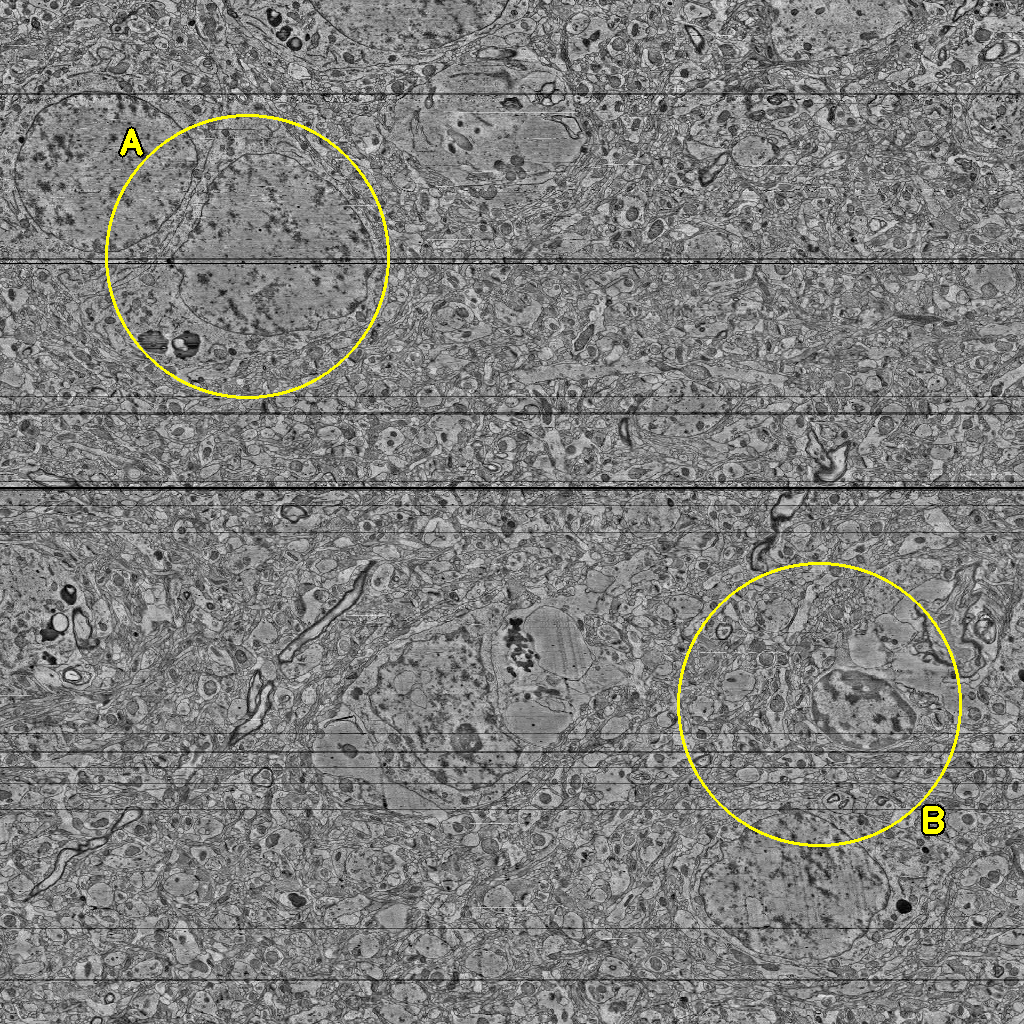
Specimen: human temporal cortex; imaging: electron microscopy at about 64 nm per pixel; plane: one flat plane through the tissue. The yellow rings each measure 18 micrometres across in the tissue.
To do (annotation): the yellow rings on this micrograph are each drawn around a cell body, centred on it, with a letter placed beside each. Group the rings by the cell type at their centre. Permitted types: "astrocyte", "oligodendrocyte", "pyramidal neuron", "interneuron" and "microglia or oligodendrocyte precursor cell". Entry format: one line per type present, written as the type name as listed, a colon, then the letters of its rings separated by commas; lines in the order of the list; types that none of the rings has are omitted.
pyramidal neuron: A
microglia or oligodendrocyte precursor cell: B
